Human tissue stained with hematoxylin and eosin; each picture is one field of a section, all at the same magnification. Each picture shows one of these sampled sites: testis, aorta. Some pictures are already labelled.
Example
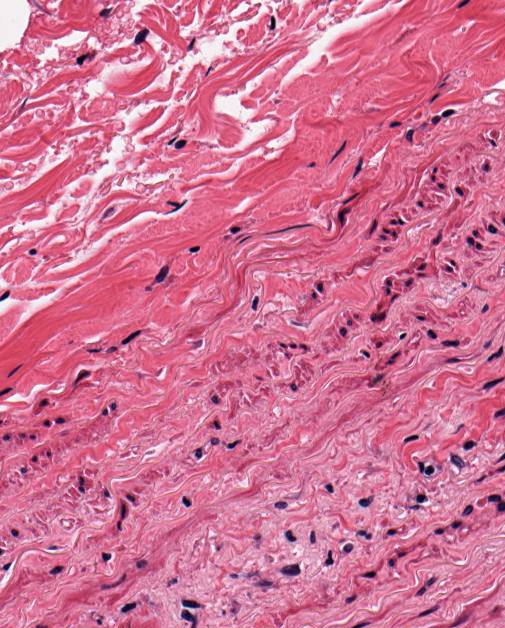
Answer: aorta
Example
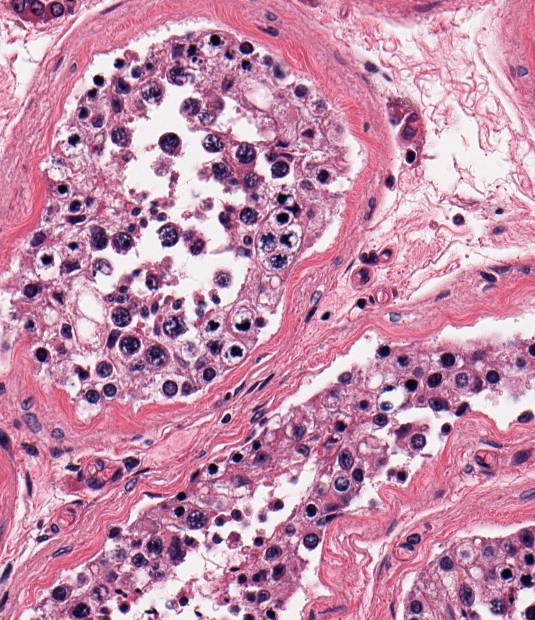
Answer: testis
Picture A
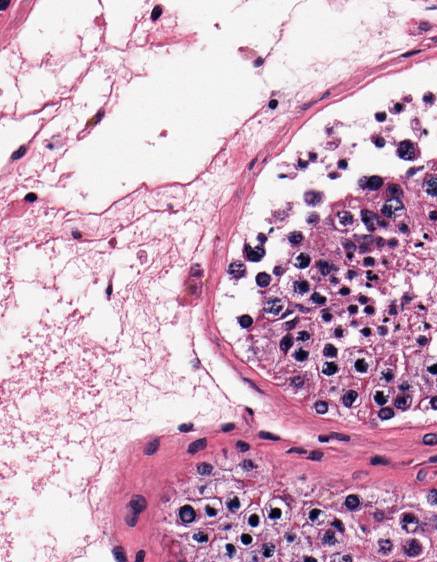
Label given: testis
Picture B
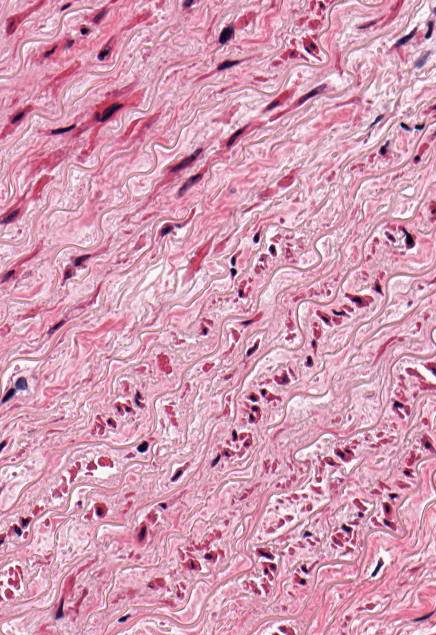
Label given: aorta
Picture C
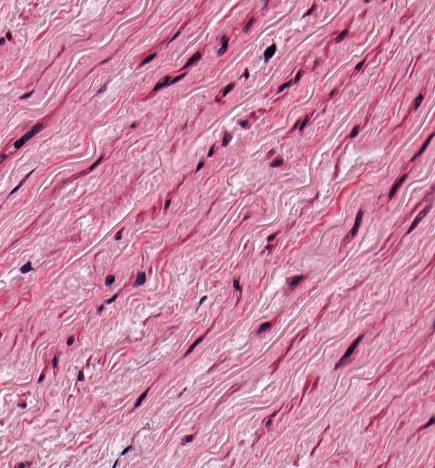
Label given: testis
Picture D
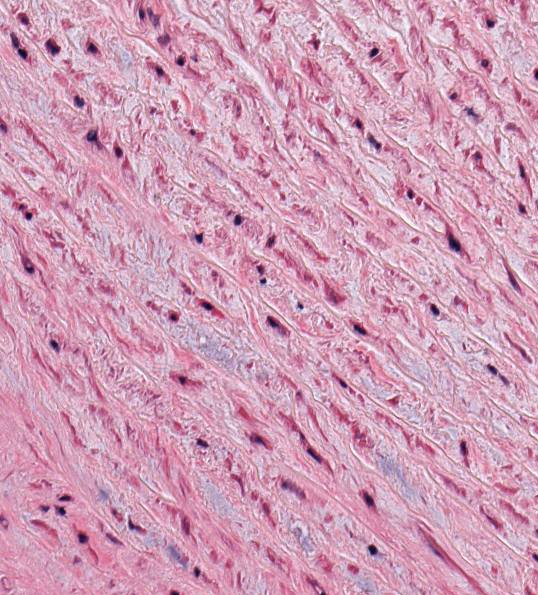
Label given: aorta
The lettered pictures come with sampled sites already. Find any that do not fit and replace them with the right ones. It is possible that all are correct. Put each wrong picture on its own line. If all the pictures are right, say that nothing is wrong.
C is labelled testis; correct label: aorta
